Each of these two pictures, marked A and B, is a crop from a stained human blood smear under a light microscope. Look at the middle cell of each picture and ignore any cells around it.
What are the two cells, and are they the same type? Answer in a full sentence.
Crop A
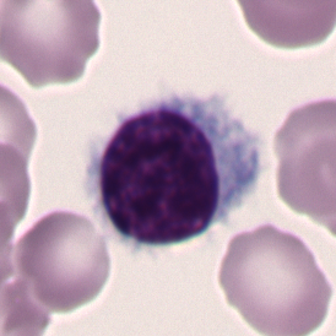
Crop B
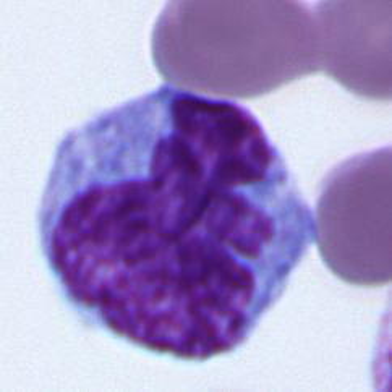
No, just to correct that: crop A shows a hairy cell, crop B shows a monocyte.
